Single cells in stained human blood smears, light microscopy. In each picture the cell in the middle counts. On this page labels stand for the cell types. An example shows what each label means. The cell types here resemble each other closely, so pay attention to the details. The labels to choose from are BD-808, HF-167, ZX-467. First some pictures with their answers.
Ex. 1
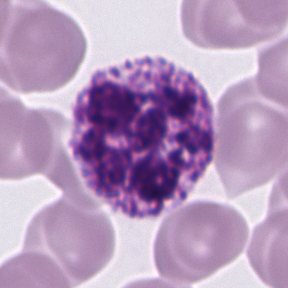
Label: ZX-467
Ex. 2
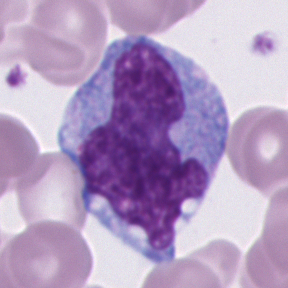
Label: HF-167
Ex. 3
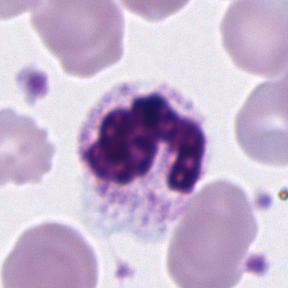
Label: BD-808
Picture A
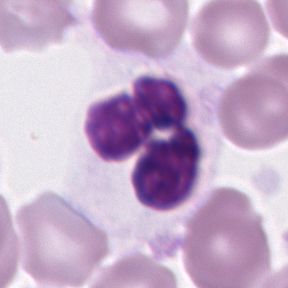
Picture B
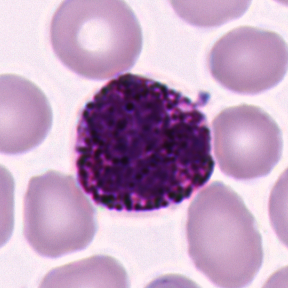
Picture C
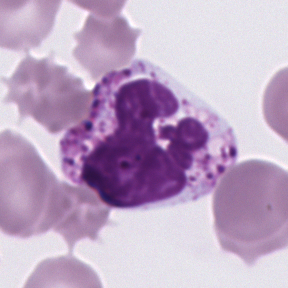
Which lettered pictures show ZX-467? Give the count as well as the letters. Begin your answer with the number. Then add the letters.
2, namely B, C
